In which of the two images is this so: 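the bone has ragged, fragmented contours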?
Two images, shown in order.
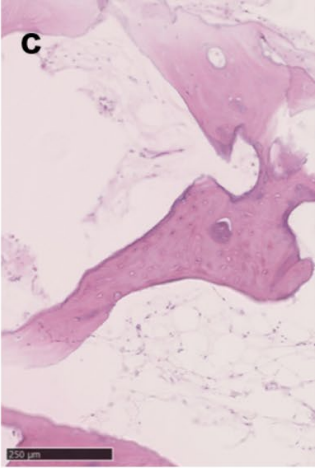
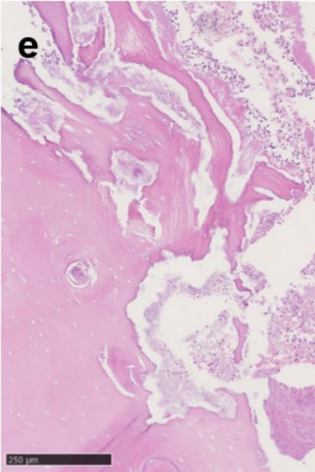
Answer: the second image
